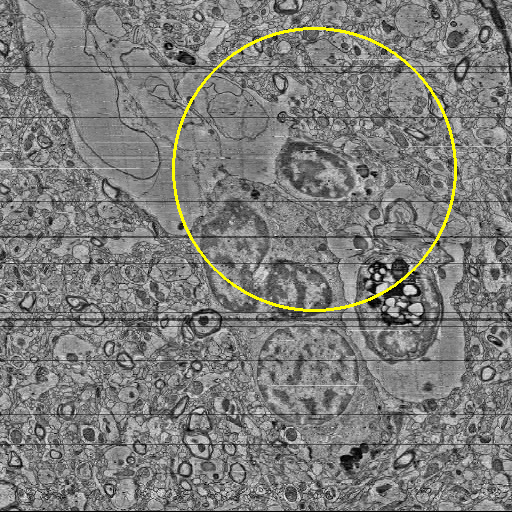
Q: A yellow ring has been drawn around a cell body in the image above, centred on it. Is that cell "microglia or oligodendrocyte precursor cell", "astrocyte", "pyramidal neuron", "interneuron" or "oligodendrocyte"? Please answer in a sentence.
The ring surrounds the cell body of a microglial cell or oligodendrocyte precursor cell.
